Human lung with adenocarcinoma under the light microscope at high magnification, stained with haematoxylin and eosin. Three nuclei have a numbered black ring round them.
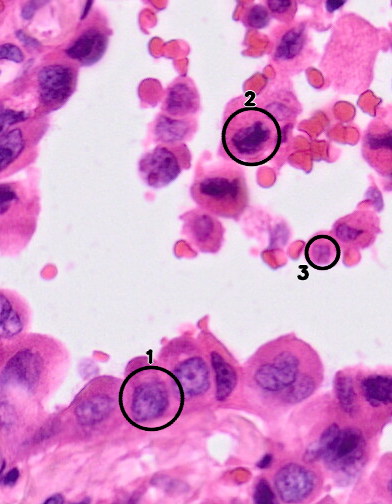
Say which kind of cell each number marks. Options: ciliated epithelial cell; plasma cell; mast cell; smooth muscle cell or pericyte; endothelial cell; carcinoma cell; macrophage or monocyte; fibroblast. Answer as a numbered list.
1. carcinoma cell
2. carcinoma cell
3. macrophage or monocyte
